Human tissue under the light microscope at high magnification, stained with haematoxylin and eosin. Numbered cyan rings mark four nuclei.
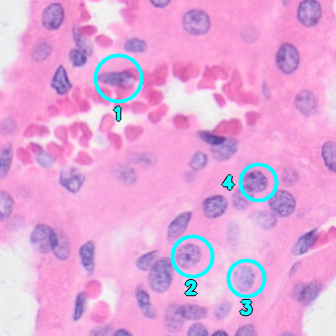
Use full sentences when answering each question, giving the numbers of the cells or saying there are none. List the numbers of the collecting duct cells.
Identified as collecting duct cells are the cells numbered 2, 3 and 4.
